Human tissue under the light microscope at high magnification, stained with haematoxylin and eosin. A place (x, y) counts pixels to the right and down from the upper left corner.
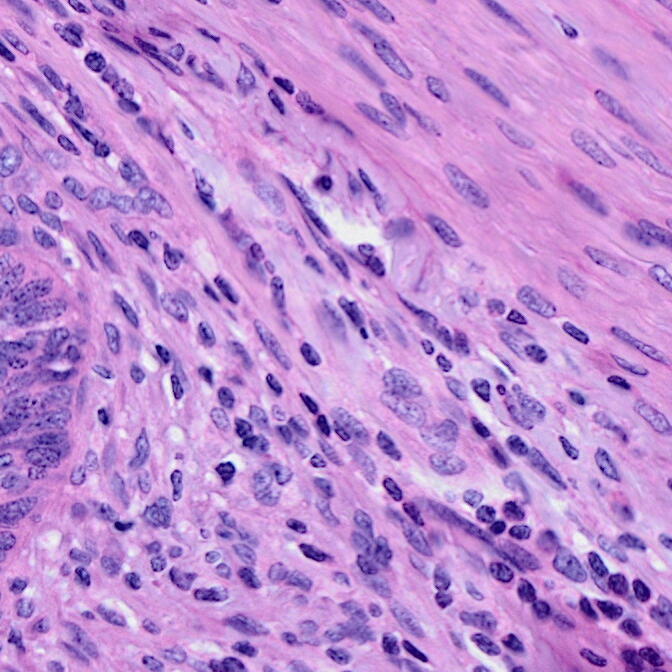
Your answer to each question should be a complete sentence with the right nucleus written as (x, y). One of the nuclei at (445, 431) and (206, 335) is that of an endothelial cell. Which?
The nucleus found at (445, 431) belongs to an endothelial cell.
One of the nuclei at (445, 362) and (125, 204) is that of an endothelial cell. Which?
The nucleus positioned at (125, 204) is the one that belongs to an endothelial cell.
